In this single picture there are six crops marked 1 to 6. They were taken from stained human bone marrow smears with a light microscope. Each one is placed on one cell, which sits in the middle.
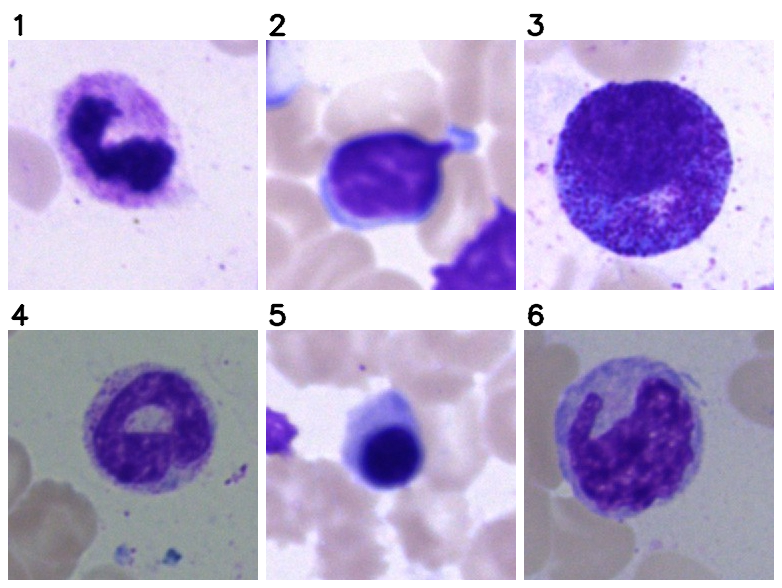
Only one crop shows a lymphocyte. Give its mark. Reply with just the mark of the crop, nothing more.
2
